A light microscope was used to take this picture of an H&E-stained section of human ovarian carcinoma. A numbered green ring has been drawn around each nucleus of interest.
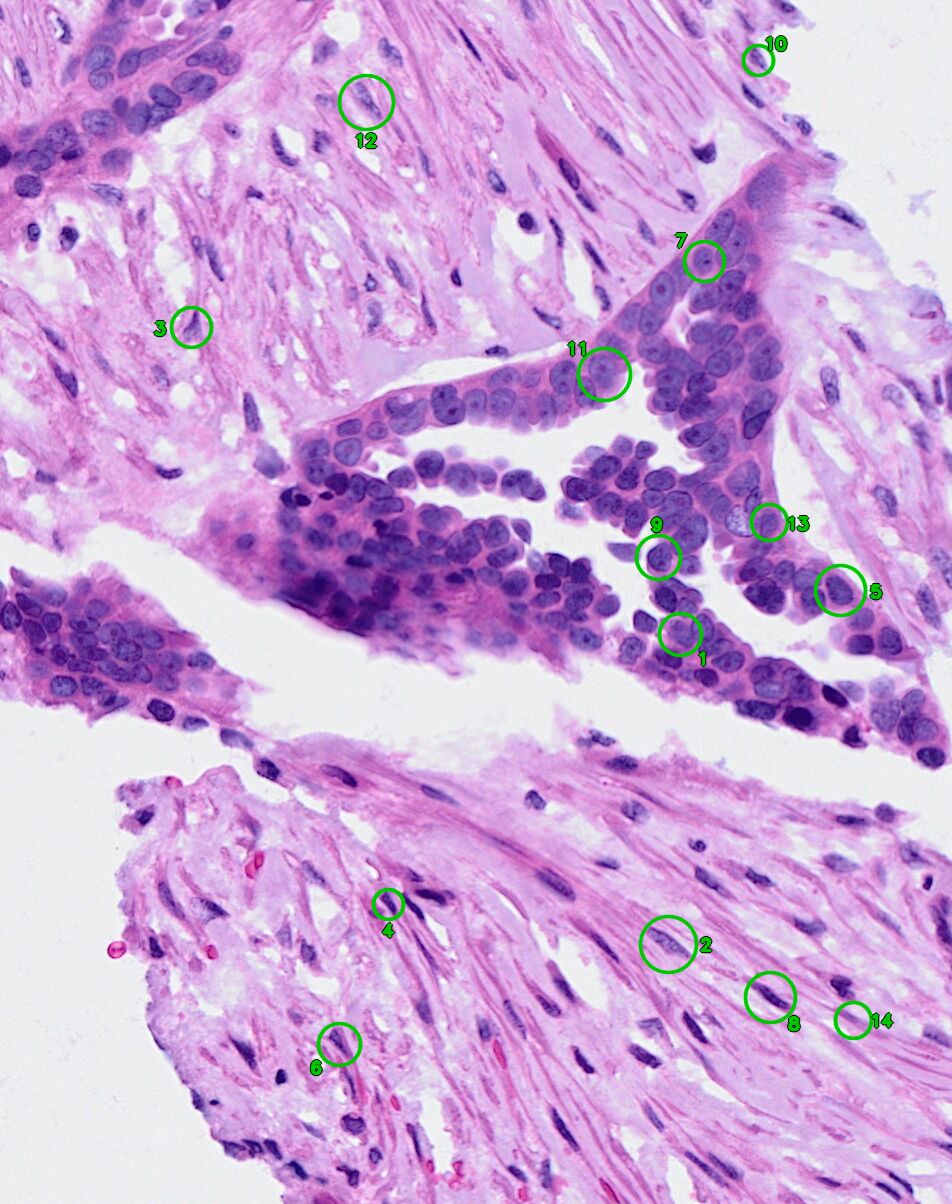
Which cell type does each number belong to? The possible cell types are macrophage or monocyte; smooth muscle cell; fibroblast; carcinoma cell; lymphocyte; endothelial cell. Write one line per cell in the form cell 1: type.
cell 1: carcinoma cell
cell 2: fibroblast
cell 3: fibroblast
cell 4: fibroblast
cell 5: carcinoma cell
cell 6: fibroblast
cell 7: carcinoma cell
cell 8: fibroblast
cell 9: carcinoma cell
cell 10: fibroblast
cell 11: carcinoma cell
cell 12: fibroblast
cell 13: carcinoma cell
cell 14: fibroblast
